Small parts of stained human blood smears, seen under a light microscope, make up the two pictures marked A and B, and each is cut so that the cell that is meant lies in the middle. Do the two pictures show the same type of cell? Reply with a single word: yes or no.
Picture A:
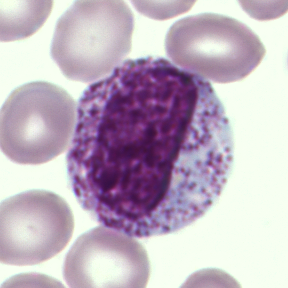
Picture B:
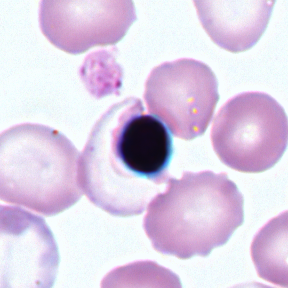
no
